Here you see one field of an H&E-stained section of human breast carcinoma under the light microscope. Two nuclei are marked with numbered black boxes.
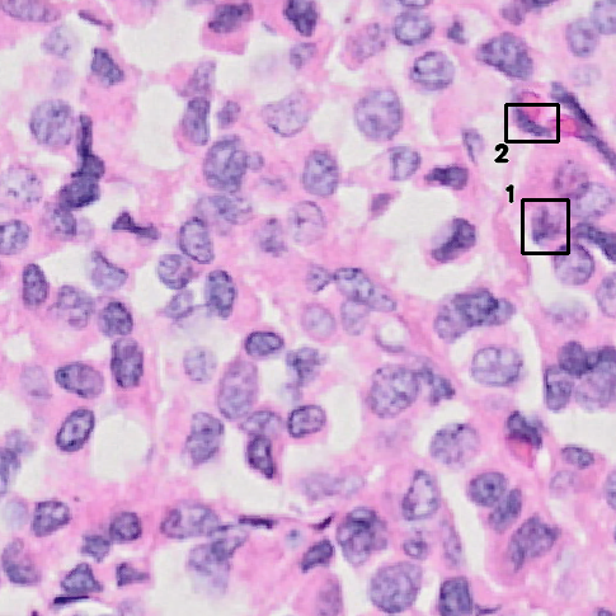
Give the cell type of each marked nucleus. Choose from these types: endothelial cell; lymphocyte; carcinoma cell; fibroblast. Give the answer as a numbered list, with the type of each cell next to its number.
1. carcinoma cell
2. endothelial cell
